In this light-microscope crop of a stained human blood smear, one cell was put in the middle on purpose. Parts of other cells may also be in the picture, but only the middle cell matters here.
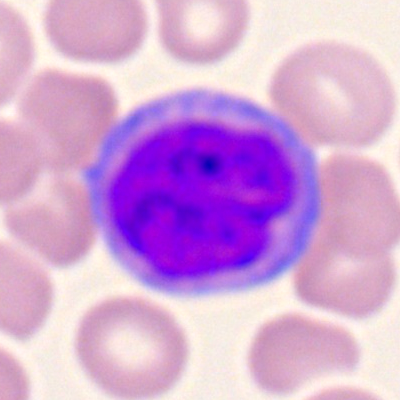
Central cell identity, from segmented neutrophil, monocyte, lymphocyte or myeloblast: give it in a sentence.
Looking at the middle of the crop, the cell there is a monocyte.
